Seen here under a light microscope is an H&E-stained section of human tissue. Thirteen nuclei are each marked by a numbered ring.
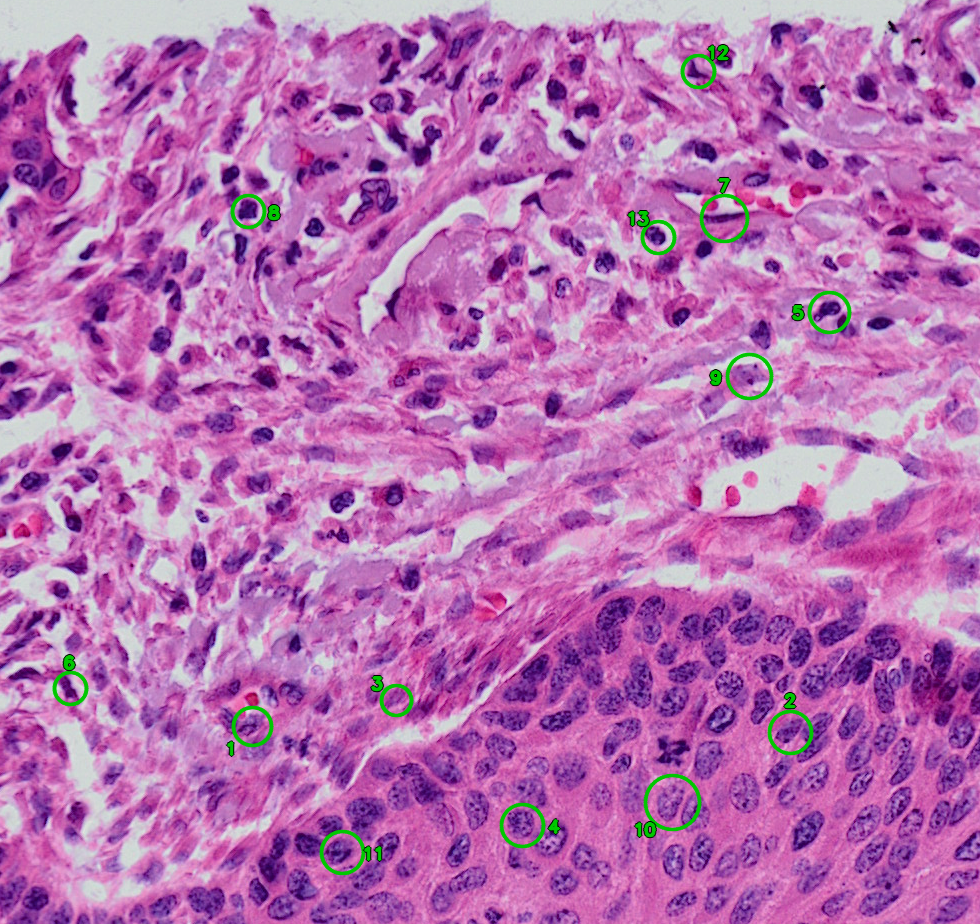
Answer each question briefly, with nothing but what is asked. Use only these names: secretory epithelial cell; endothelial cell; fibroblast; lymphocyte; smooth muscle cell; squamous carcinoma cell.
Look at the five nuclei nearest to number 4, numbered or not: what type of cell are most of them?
squamous carcinoma cell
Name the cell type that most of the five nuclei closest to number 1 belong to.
endothelial cell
